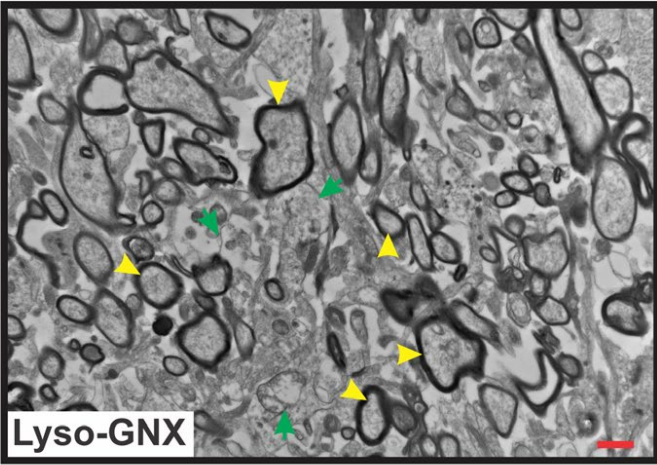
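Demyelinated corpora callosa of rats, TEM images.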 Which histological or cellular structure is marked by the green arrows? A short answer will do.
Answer: Unmyelinated ones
